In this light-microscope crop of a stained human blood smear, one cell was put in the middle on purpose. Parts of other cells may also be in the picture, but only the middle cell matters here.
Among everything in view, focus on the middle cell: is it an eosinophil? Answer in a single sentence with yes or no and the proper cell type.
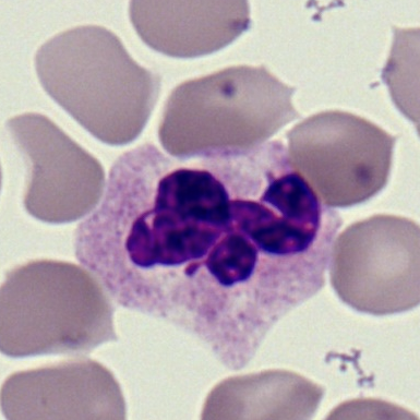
No, it isn't an eosinophil; what sits in the middle is a segmented neutrophil.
